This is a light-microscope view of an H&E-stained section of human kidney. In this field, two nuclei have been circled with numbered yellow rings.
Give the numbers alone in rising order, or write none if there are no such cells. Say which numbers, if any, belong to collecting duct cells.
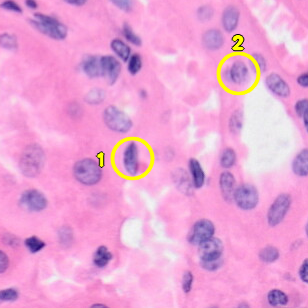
2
